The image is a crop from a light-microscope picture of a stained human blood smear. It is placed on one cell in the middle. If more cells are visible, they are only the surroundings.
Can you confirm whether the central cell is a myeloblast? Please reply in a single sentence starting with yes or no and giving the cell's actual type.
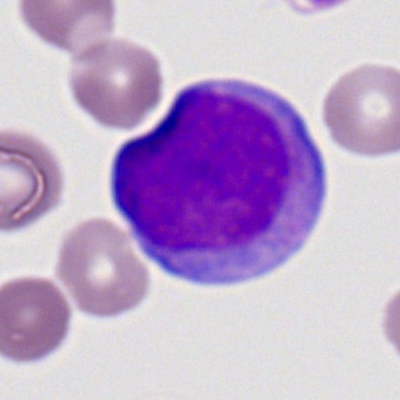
Yes, the cell in the middle of the crop is a myeloblast.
